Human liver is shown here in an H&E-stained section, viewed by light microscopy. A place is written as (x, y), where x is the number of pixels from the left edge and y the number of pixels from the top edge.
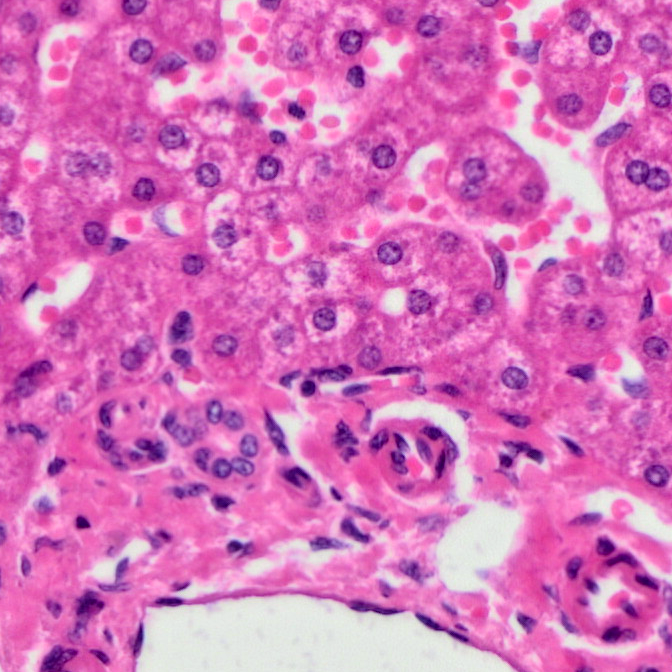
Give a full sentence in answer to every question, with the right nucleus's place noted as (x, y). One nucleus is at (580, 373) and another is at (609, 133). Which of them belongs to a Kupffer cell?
Among the two nuclei, the one lying at (609, 133) is part of a Kupffer cell.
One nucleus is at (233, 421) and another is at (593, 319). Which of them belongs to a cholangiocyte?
The nucleus at (233, 421), rather than the other, belongs to a cholangiocyte.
